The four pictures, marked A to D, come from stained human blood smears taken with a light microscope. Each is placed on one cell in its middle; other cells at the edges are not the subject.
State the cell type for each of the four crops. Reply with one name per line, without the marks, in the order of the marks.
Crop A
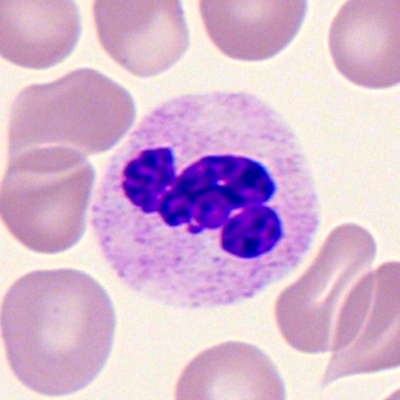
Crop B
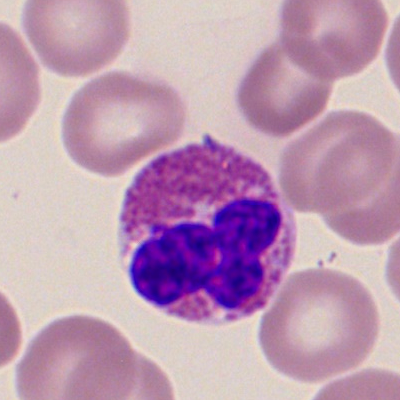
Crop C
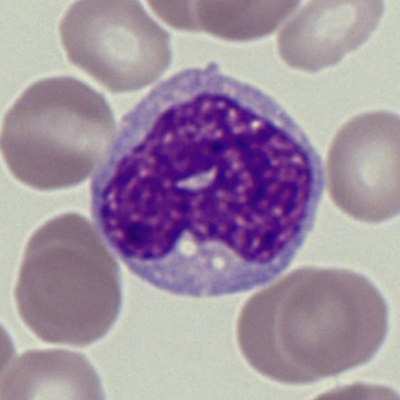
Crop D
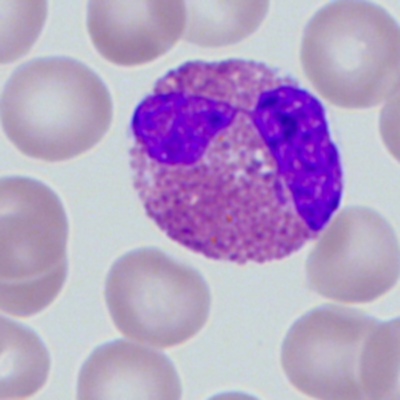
segmented neutrophil
eosinophil
monocyte
eosinophil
